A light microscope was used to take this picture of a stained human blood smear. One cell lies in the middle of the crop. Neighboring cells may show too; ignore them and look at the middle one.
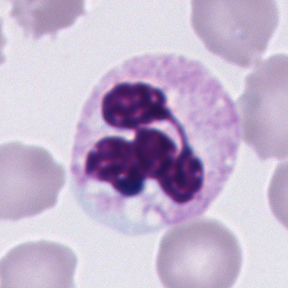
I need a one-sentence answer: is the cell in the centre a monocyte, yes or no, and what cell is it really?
No, what the centre of the crop shows is a segmented neutrophil, not a monocyte.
